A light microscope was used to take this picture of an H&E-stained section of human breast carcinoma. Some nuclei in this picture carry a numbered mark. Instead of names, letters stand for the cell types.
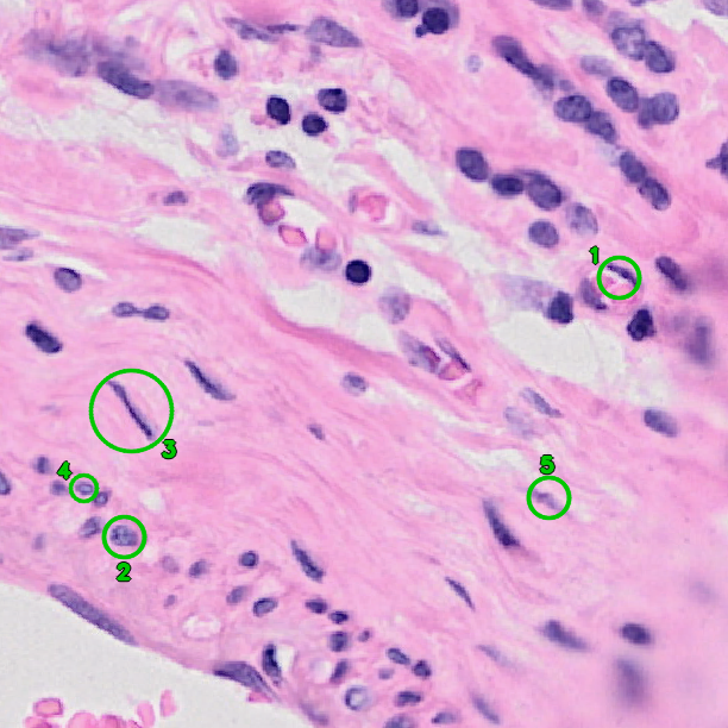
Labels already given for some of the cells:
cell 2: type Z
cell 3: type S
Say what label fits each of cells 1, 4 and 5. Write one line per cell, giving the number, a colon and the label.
1: type Z
4: type Z
5: type S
